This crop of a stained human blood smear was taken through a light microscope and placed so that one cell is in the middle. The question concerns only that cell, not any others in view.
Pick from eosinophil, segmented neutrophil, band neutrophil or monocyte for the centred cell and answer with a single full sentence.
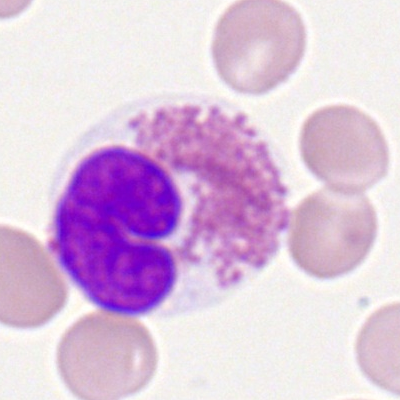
The cell of interest, located centrally, is an eosinophil.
